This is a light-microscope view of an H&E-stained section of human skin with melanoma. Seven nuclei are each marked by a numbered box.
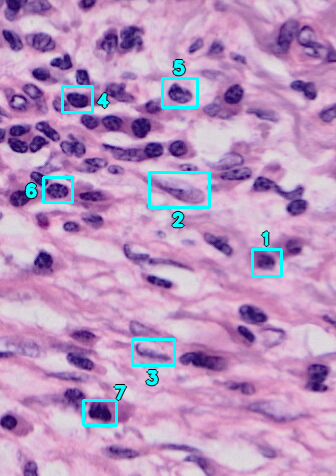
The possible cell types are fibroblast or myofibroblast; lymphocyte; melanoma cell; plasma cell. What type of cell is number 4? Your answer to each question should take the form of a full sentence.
What the number 4 marks in this field is a plasma cell.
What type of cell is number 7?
The cell indicated by marker 7 is a plasma cell in this section.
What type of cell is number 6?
Cell 6 of the marked set is a plasma cell.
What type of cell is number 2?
The cell bearing label 2 corresponds to a fibroblast or myofibroblast.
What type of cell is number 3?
The cell marked with the number 3 is a fibroblast or myofibroblast.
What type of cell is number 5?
The cell that is numbered 5 is a lymphocyte.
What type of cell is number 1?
Corresponding to a plasma cell is the cell labelled 1.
